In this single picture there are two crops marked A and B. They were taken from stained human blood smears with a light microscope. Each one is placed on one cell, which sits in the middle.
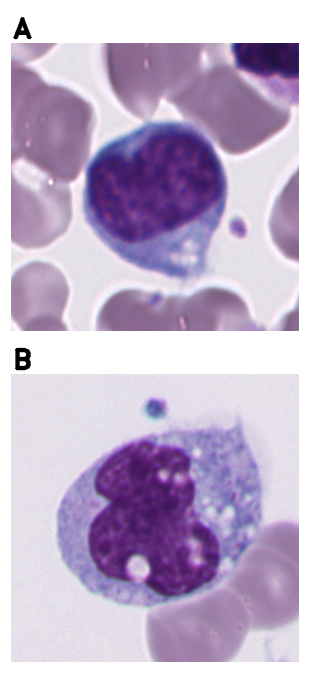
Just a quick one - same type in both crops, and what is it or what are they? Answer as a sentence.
Yes, both of the crops in this pair show monocytes, one cell in each crop.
